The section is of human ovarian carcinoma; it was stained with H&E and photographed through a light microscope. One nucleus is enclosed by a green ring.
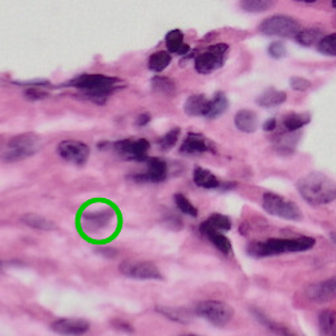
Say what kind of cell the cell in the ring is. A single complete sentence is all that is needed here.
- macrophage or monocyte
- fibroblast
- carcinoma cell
The identity of the cell in the ring: it is a fibroblast.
